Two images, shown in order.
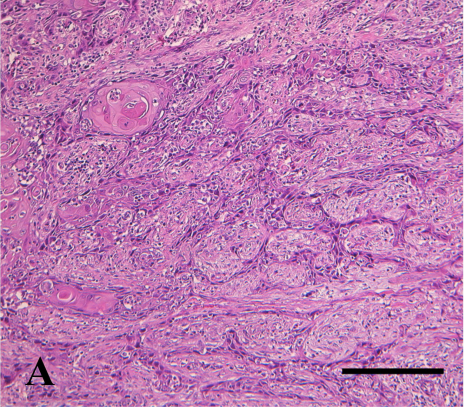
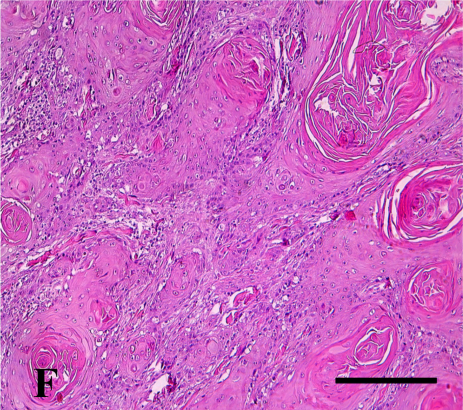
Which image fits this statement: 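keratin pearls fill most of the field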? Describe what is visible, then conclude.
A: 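Second image: many large round pink keratin pearls occupy much of the field. First image: only a few small keratin pearls, the rest is cords and spindle cells in stroma.
Answer: the second image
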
